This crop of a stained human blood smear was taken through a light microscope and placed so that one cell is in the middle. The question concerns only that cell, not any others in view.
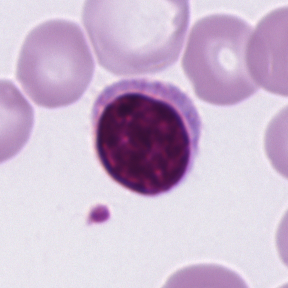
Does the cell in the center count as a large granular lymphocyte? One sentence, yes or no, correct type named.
Yes, the cell at the centre of the field is a large granular lymphocyte.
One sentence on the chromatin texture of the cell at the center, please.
If you check the nucleus, you will find the chromatin coarsely clumped.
